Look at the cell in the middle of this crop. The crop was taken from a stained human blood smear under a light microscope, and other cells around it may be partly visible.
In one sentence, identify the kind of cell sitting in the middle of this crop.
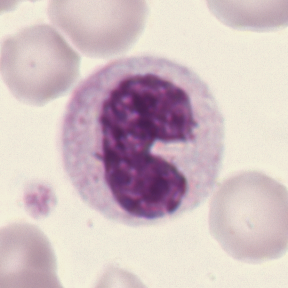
The cell at the middle of the crop is recognized as a band neutrophil.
